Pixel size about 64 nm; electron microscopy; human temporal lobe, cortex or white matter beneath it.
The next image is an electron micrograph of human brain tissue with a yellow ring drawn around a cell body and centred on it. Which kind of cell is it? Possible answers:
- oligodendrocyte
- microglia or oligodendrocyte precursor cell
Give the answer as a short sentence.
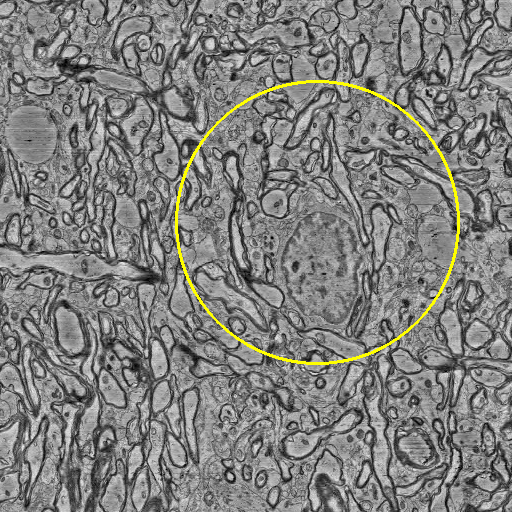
In the ring's centre is an oligodendrocyte.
